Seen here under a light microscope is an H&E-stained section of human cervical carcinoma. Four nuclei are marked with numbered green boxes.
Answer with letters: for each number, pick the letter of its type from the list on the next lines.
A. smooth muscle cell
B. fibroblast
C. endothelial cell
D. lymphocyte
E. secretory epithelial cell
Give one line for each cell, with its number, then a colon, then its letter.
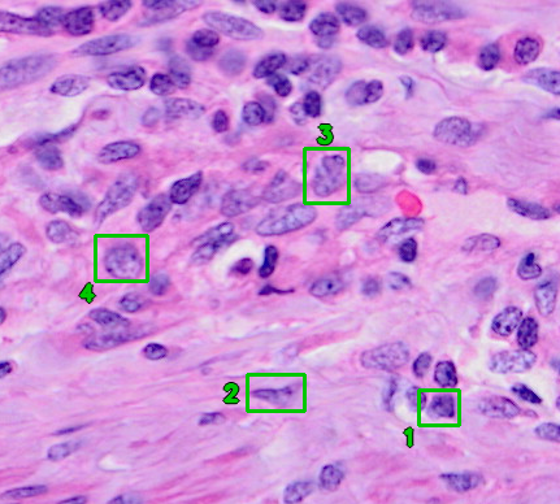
1: D
2: B
3: C
4: C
